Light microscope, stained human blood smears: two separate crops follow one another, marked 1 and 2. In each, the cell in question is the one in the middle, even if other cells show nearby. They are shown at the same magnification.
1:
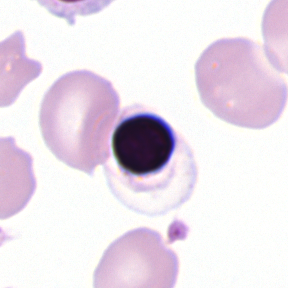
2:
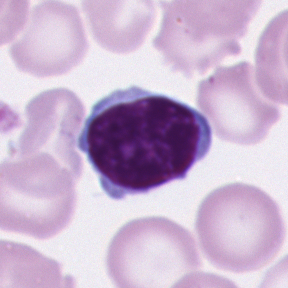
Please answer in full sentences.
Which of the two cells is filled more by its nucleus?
In crop 2 the nucleus takes up the larger part of its cell.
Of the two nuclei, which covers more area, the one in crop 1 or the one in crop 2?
It is the nucleus in crop 2, about 3 times as large in area as the one in crop 1.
